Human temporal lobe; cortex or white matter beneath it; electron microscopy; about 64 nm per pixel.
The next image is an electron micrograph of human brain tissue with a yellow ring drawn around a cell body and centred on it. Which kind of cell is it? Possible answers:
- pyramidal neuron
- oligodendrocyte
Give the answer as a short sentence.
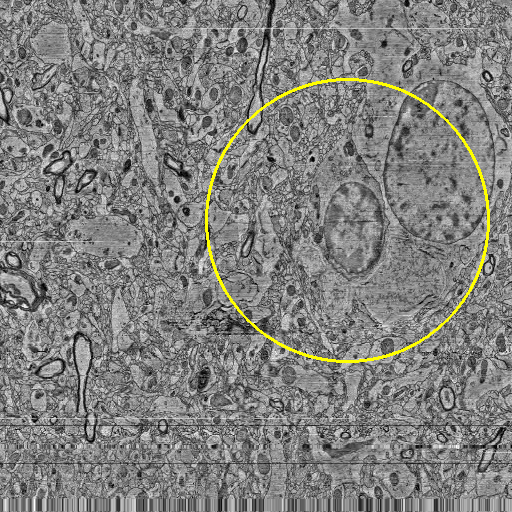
In the ring's centre is an oligodendrocyte.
